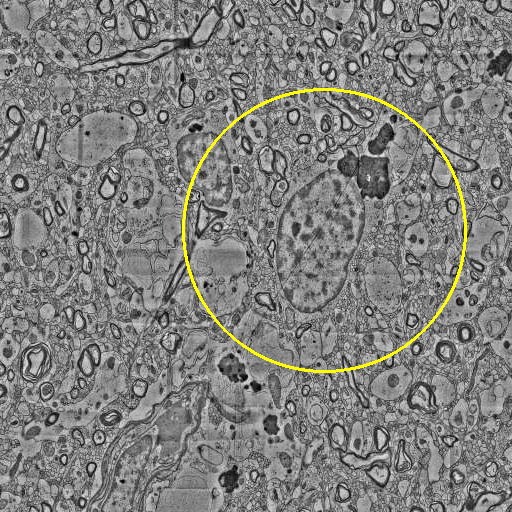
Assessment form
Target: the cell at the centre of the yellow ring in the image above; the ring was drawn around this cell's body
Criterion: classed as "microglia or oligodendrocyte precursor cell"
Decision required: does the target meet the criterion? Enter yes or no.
no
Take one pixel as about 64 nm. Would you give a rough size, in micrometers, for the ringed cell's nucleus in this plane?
Roughly 9 by 5 micrometers, clearly longer than it is wide in this plane.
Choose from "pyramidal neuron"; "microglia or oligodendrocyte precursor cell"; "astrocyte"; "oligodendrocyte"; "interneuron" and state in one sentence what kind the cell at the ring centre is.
At the centre of the ring sits an oligodendrocyte.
